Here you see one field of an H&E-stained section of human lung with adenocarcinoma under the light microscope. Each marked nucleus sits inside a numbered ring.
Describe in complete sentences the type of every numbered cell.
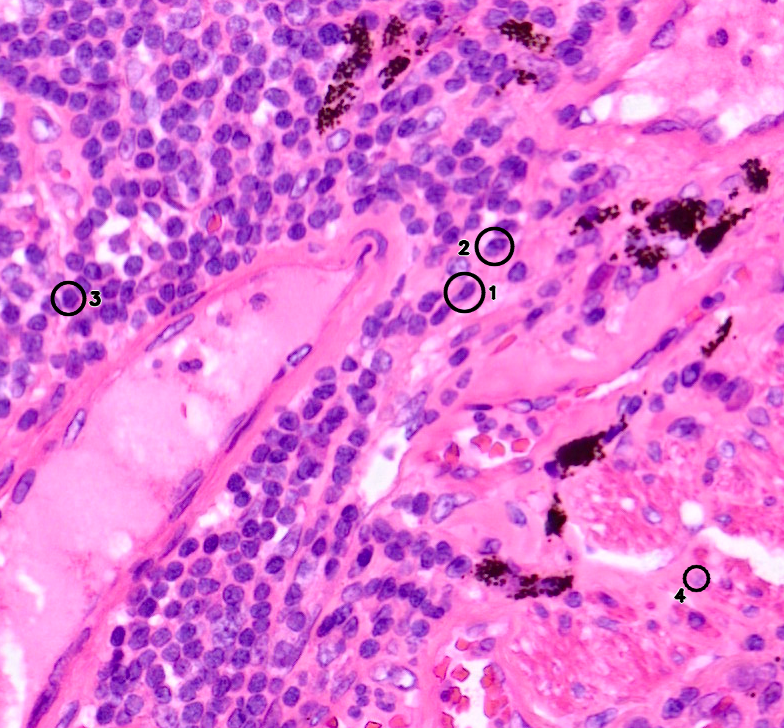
Cell 1 is a lymphocyte, cell 2 is a lymphocyte, cell 3 is a lymphocyte and cell 4 is a smooth muscle cell or pericyte.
